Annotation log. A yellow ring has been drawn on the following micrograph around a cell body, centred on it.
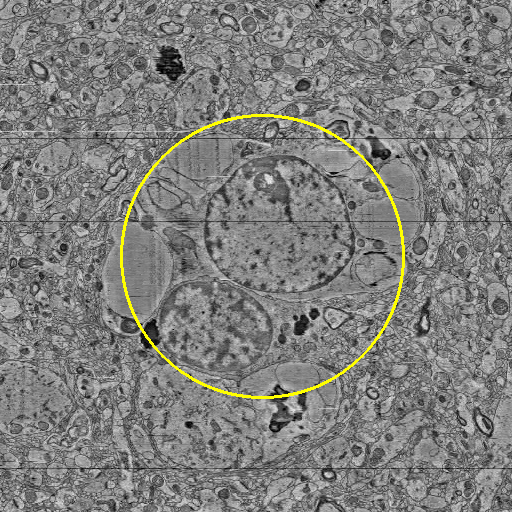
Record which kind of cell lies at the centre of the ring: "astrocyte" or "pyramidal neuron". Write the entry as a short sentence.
The cell the ring is centred on is an astrocyte.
